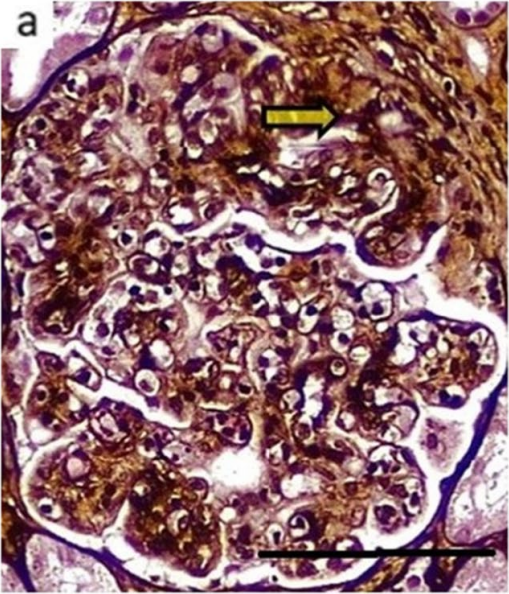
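A glomerulus with a hypercellular, lobulated tuft fills most of the field. Capillary lumina are narrowed and the tuft segments are outlined by dark silver-stained basement membranes and brownish matrix. Many nuclei crowd the lobules. At the upper edge, cells fill Bowman's space between the tuft and the capsule, forming a crescent. The surrounding interstitium at the upper right is dense and cellular.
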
